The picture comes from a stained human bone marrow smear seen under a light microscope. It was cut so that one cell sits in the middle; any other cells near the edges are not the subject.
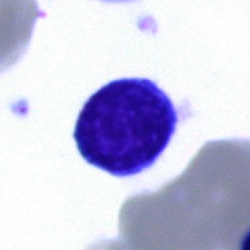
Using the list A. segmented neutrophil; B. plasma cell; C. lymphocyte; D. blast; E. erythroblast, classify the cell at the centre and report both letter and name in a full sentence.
The central cell of the crop is a lymphocyte, which makes C the correct option.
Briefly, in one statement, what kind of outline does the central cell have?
The border of this cell runs smooth and free of any projections.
